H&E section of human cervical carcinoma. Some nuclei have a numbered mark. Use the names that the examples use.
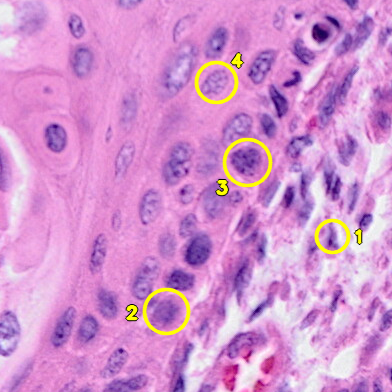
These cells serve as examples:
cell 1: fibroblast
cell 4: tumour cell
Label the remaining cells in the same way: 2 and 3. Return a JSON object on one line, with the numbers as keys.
{"2": "tumour cell", "3": "tumour cell"}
